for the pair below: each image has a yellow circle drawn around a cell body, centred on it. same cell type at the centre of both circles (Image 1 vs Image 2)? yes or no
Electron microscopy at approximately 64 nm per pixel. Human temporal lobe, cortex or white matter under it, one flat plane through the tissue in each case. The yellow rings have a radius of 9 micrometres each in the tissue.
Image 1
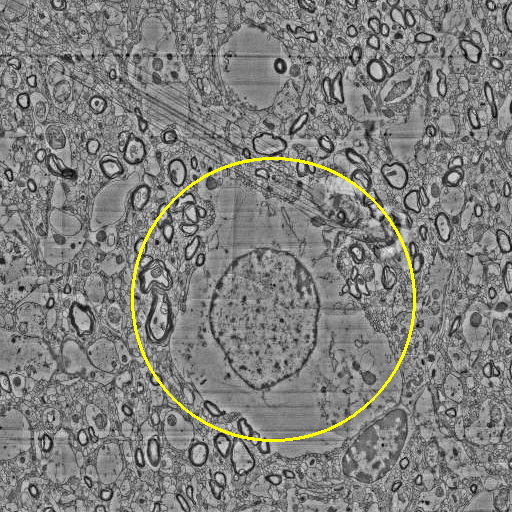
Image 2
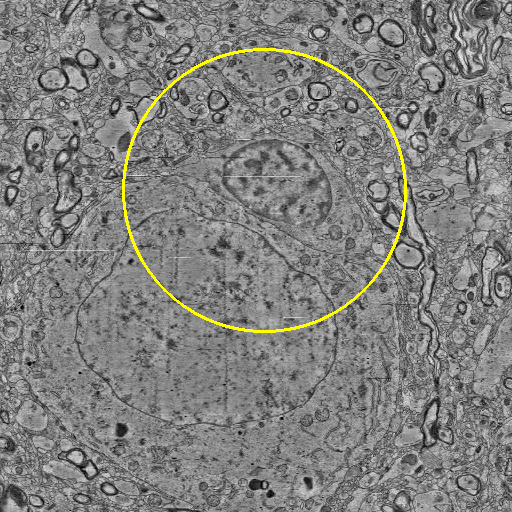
no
